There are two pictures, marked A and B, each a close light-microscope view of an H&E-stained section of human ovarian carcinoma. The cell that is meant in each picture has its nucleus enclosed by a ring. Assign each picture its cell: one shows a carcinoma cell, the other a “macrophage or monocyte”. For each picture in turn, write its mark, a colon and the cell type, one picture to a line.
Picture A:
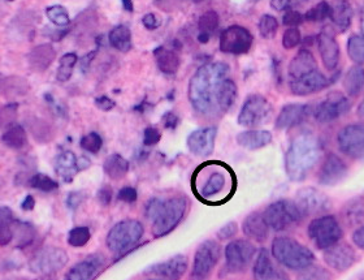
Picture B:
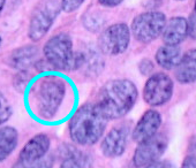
A: macrophage or monocyte
B: carcinoma cell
